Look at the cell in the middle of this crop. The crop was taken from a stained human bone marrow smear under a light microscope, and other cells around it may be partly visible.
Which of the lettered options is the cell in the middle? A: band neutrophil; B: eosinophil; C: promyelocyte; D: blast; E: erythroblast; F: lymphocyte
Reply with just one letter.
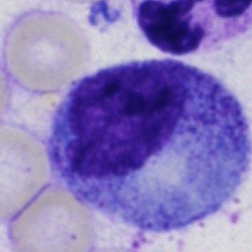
C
